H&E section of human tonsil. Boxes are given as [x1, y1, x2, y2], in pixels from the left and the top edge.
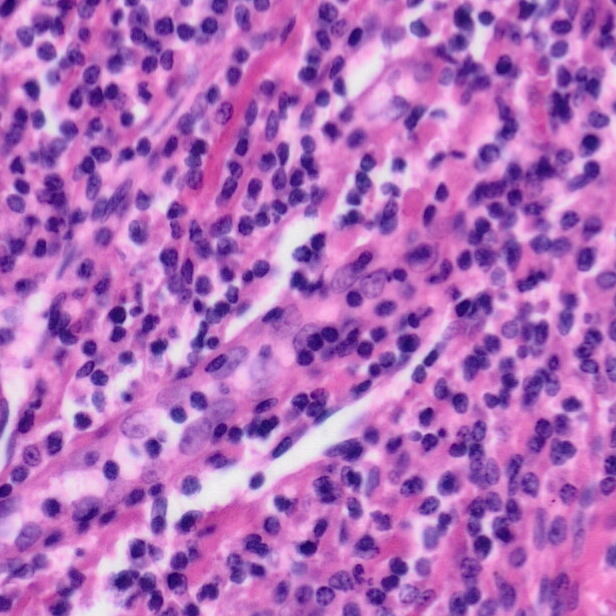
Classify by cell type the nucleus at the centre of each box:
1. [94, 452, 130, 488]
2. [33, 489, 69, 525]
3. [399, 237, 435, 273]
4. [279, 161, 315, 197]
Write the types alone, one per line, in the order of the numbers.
endothelial cell
endothelial cell
endothelial cell
small lymphocyte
